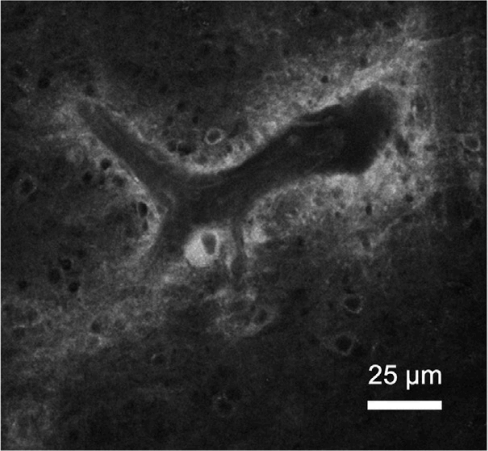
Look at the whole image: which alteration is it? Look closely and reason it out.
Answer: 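Perivascular accumulation. A branching dark tubular vessel runs across the centre. Bright diffuse fluorescence is concentrated in a band around the vessel. Fluorescence fades with distance from the vessel.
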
